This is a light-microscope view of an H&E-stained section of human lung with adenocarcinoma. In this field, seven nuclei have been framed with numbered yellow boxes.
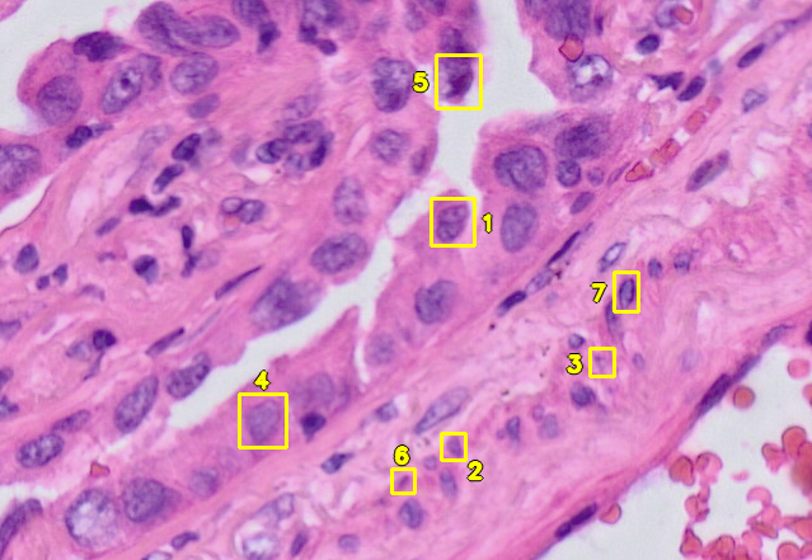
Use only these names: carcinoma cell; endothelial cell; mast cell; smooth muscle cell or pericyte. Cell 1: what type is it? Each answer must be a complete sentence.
Cell 1, as marked in the section, is a carcinoma cell.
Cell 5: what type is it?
Here, the cell given the number 5 is a carcinoma cell.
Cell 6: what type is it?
The cell numbered 6 has been identified as a smooth muscle cell or pericyte.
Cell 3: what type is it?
The cell identified by the number 3 is a smooth muscle cell or pericyte.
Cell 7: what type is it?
In this section, the cell tagged 7 is a smooth muscle cell or pericyte.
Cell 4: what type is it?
The cell with the number 4 is a carcinoma cell.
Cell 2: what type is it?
Among the marked cells, number 2 is a smooth muscle cell or pericyte.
